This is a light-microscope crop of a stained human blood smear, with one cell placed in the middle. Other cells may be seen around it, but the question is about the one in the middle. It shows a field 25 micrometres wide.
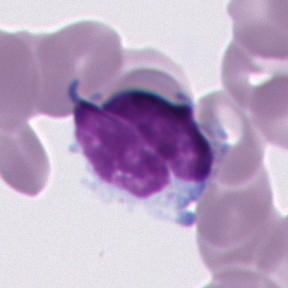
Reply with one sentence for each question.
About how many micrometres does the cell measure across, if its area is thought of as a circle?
The cell is about 12 micrometres across.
